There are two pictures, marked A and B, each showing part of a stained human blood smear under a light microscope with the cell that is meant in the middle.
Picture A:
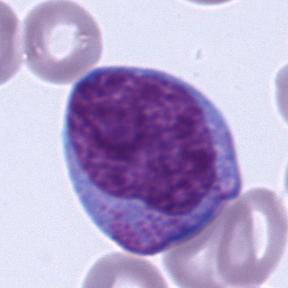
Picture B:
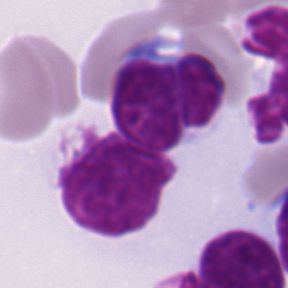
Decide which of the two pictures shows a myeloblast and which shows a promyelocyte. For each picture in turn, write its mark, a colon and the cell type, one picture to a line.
A: promyelocyte
B: myeloblast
